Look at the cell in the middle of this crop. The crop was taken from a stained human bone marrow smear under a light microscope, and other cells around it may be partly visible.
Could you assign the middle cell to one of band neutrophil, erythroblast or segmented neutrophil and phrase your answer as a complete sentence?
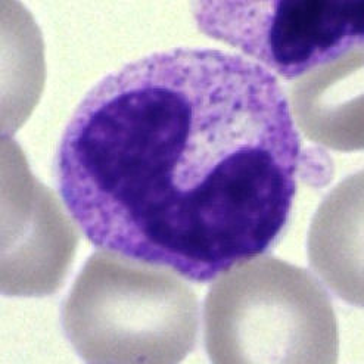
This particular crop is centered on a band neutrophil.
